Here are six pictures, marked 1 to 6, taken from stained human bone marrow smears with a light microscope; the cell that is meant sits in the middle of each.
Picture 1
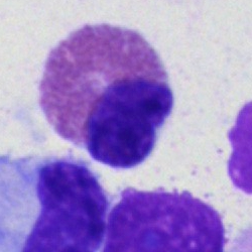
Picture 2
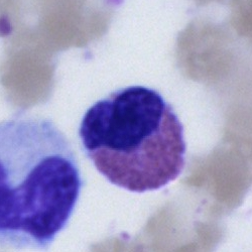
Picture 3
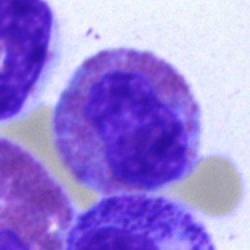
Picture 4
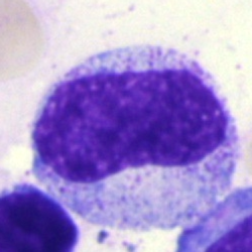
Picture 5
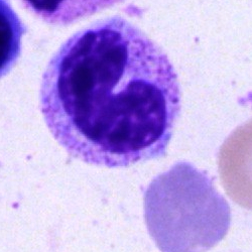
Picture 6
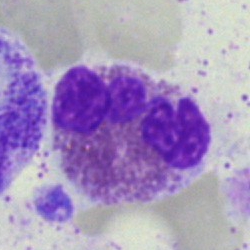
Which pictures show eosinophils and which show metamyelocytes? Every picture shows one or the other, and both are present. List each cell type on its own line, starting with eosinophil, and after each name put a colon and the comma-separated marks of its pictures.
eosinophil: 1, 2, 3, 6
metamyelocyte: 4, 5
